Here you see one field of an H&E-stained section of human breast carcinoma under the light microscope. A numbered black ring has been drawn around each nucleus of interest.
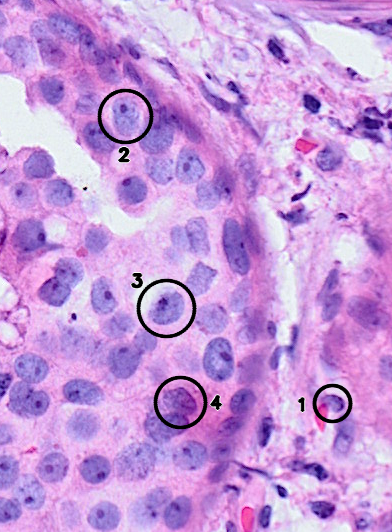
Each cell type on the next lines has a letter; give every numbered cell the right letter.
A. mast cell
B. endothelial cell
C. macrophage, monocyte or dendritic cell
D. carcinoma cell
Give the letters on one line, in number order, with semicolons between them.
B; D; D; D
